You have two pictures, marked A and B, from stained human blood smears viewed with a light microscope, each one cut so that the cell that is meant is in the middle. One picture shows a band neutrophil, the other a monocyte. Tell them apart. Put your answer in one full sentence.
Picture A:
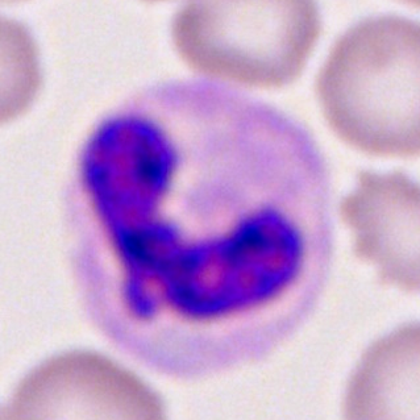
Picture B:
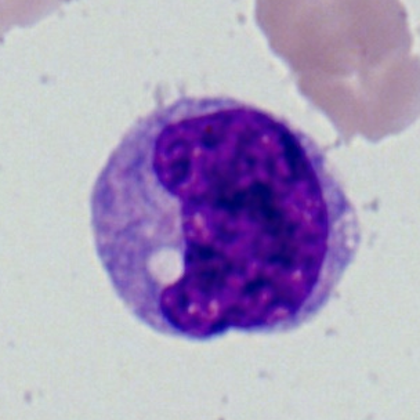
It is picture A that shows a band neutrophil, and picture B that shows a monocyte.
